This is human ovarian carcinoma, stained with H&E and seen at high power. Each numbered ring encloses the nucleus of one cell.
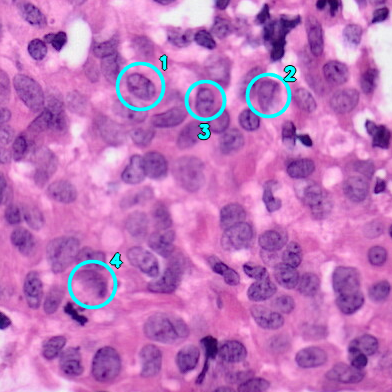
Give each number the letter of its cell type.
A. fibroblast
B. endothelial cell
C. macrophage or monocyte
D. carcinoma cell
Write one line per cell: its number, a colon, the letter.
1: C
2: D
3: D
4: D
